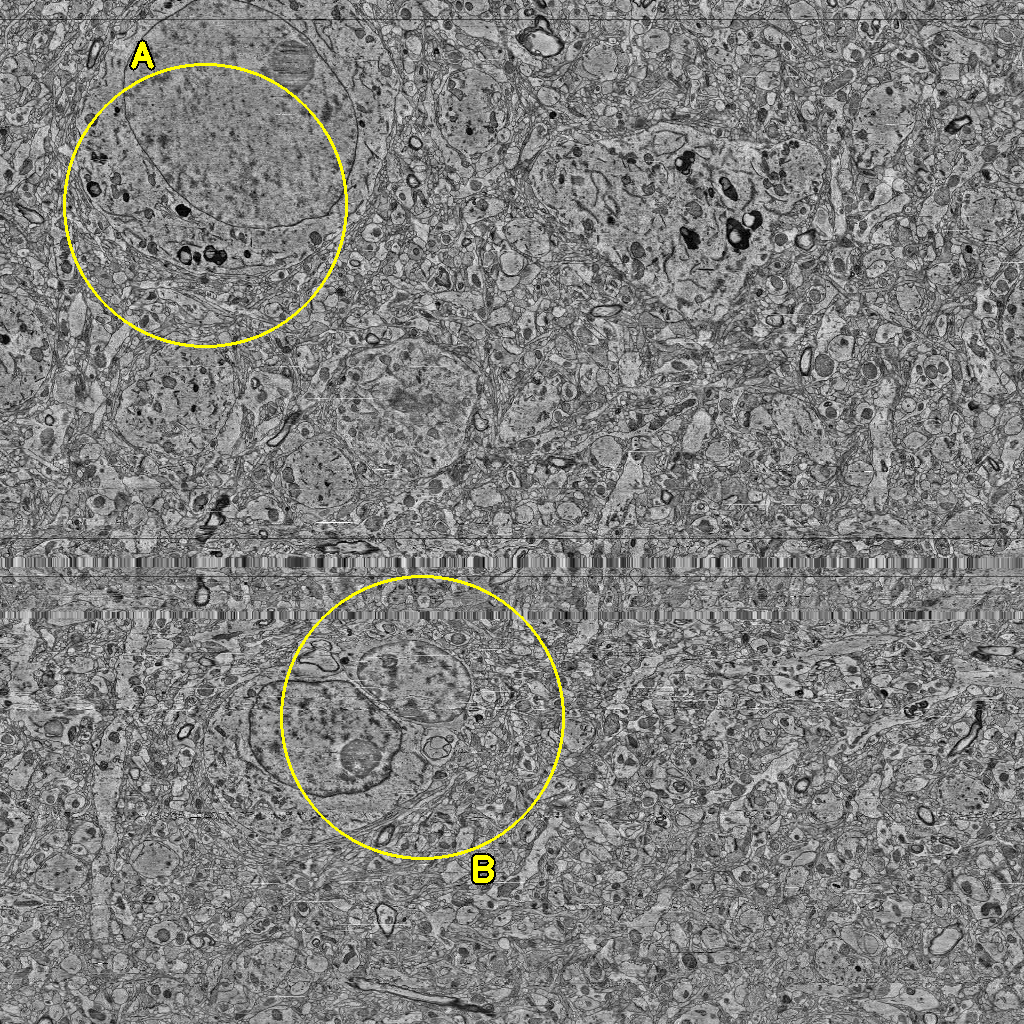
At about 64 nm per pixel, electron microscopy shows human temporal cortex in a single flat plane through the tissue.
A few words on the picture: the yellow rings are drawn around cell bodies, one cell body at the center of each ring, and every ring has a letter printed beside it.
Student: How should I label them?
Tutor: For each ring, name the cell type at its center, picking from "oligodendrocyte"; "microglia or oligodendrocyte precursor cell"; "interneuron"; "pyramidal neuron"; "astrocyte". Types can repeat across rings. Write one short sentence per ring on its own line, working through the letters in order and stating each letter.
In ring A, the central cell is a pyramidal neuron.
In ring B, the central cell is an oligodendrocyte.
